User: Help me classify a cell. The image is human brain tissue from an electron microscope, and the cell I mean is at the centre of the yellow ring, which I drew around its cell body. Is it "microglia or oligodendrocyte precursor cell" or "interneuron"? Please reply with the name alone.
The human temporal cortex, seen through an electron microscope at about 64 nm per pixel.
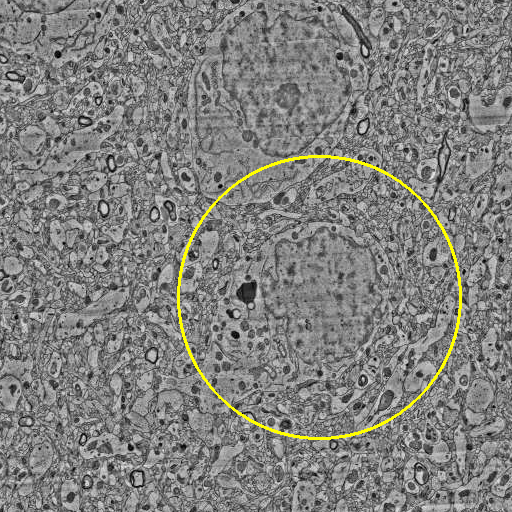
interneuron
